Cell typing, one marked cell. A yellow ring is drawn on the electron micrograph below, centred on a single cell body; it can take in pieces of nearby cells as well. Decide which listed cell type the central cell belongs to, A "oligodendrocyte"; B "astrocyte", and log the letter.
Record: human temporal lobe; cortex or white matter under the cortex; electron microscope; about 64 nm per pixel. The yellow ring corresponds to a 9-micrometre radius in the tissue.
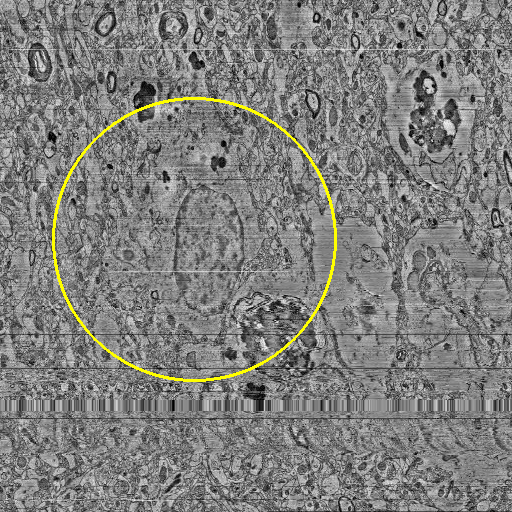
B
